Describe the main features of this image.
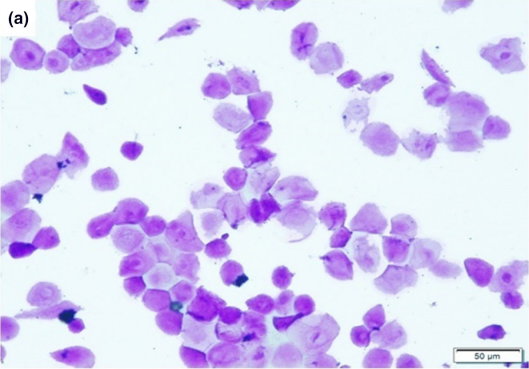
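Some cells lie singly, while others lie in loose clusters and chains, touching at their edges. A few smaller, darker, irregular cells are scattered about, but small inflammatory cells are rare. The background is clean and pale. A field of rounded nucleated cells like this is what one expects of the proestrus phase of the cycle.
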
